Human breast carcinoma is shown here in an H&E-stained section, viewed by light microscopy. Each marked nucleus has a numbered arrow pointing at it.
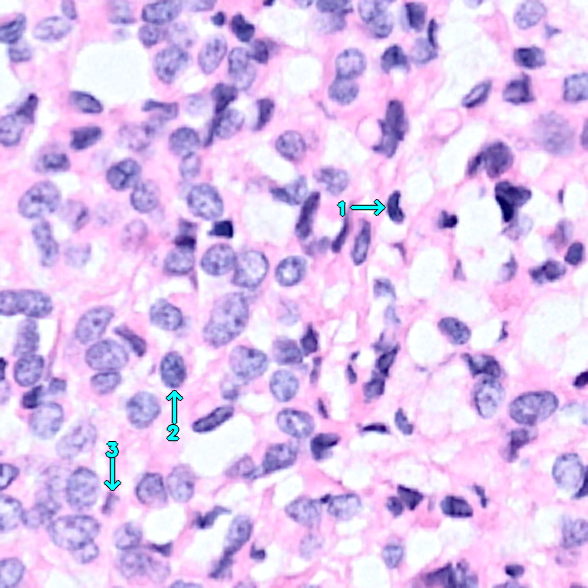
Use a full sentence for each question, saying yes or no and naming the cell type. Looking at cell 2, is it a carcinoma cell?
Yes, number 2 marks a cell that is a carcinoma cell.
